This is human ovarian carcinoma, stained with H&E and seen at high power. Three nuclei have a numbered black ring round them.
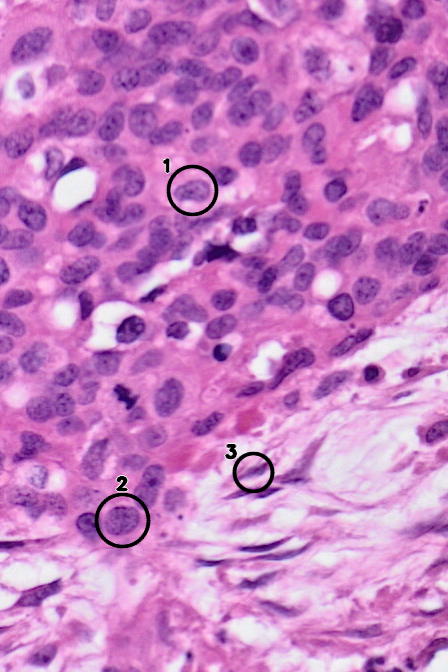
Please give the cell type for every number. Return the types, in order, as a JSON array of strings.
["macrophage or monocyte", "carcinoma cell", "fibroblast"]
